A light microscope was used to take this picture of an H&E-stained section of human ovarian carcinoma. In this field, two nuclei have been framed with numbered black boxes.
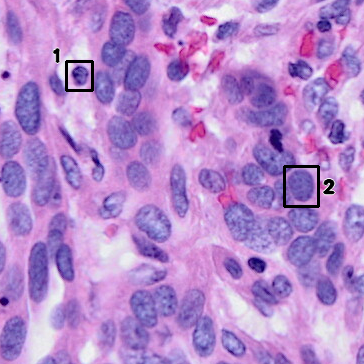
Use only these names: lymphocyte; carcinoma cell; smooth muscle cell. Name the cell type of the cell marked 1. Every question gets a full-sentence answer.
The numbered cell 1 is identified here as a lymphocyte.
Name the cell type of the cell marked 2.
Identified as a carcinoma cell is the cell bearing the number 2.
